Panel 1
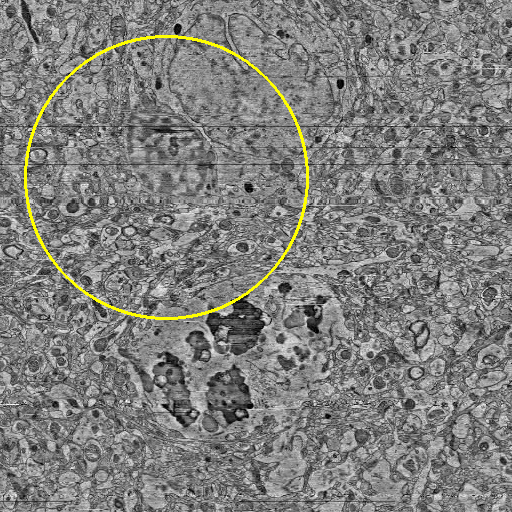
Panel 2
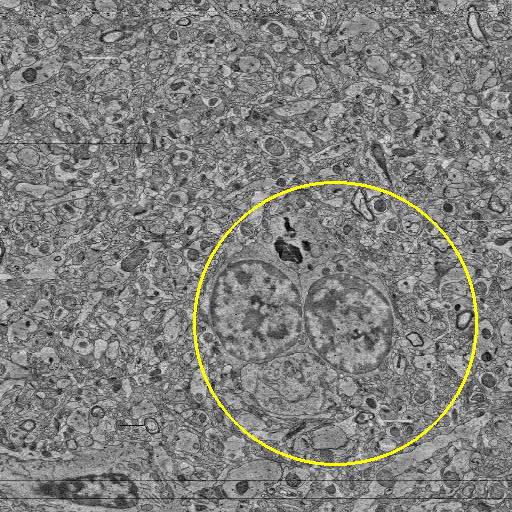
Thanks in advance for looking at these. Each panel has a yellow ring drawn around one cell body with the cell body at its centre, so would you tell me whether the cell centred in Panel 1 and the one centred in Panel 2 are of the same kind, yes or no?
yes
